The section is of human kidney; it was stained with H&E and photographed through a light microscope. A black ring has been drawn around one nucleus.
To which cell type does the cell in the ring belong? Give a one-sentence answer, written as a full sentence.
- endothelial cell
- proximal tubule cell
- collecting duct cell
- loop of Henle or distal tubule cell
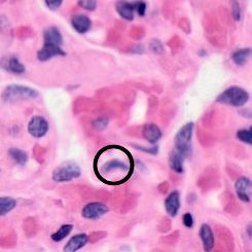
Right, so the cell in the ring is an endothelial cell, to answer that.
